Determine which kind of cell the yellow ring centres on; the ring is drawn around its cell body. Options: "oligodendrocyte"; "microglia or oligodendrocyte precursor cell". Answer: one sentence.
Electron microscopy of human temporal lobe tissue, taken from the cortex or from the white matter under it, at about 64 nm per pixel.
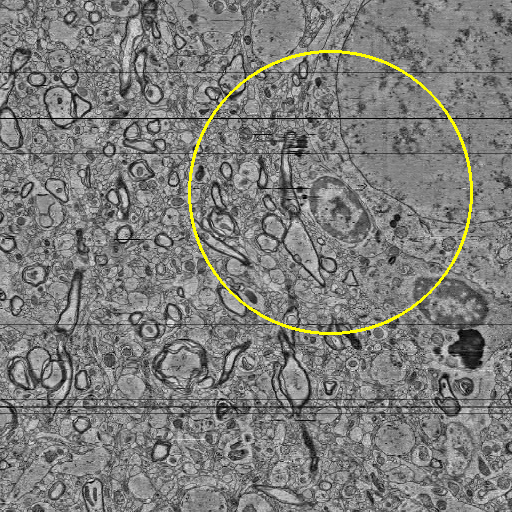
The ring centres on a microglial cell or oligodendrocyte precursor cell.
